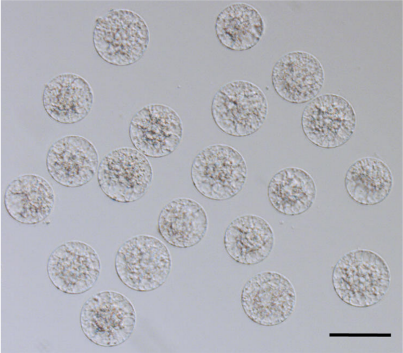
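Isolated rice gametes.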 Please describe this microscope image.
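Every cell has a thin, smooth, round outline. The cytoplasm is densely granular, with the granules clustered toward the middle and a clearer rim beneath the cell edge. No attached tissue or cell walls of neighbouring cells are visible.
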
